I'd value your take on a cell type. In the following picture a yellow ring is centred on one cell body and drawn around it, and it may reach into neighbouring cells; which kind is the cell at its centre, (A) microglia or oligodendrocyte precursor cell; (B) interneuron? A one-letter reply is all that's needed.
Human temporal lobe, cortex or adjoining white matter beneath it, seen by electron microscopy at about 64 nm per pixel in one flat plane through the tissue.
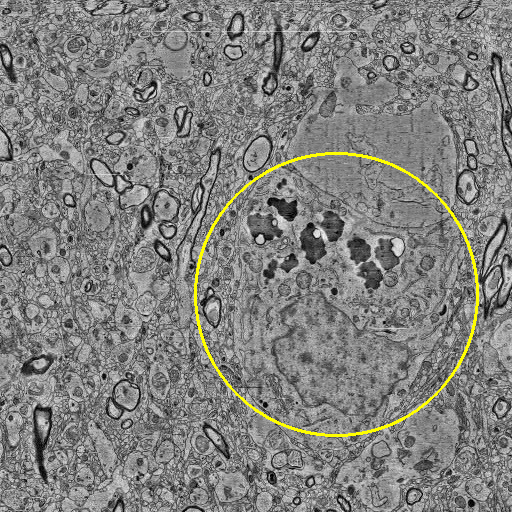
B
